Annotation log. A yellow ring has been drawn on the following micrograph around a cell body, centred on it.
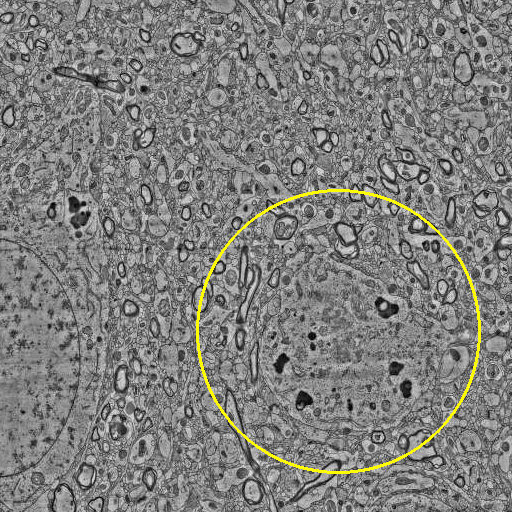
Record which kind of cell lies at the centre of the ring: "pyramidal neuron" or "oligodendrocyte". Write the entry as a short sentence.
The cell the ring is centred on is a pyramidal neuron.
